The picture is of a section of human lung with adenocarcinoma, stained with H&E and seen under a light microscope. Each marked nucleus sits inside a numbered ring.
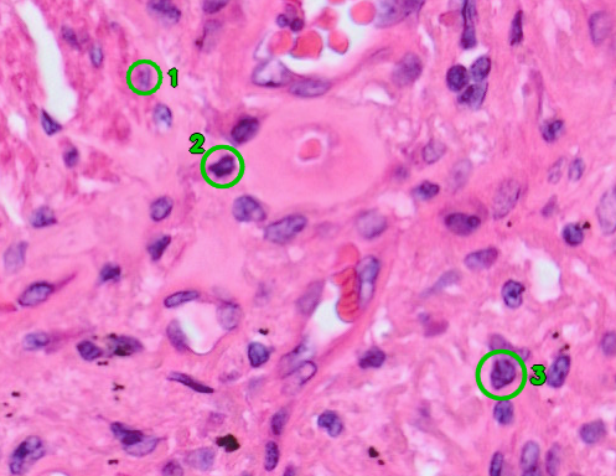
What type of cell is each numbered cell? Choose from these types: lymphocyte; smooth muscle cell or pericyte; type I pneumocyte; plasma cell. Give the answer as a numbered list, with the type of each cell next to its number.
1. smooth muscle cell or pericyte
2. plasma cell
3. lymphocyte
